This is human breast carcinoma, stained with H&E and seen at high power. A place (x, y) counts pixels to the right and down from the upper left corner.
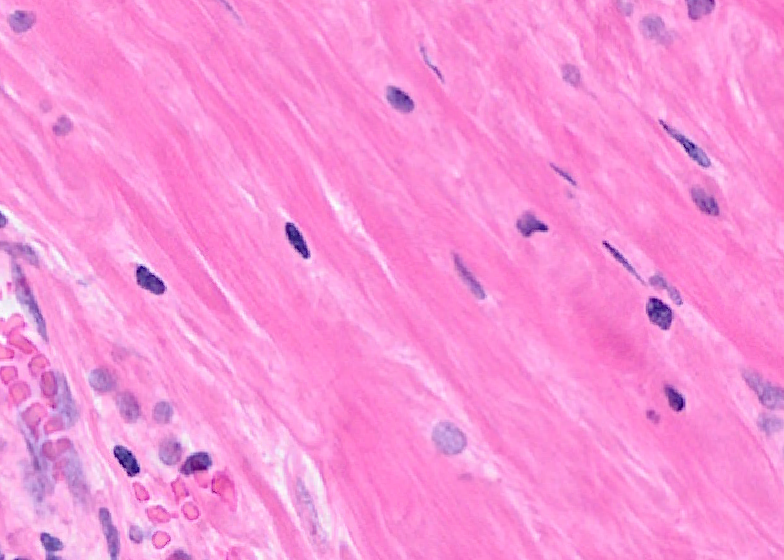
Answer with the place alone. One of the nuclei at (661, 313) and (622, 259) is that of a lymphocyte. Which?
(661, 313)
